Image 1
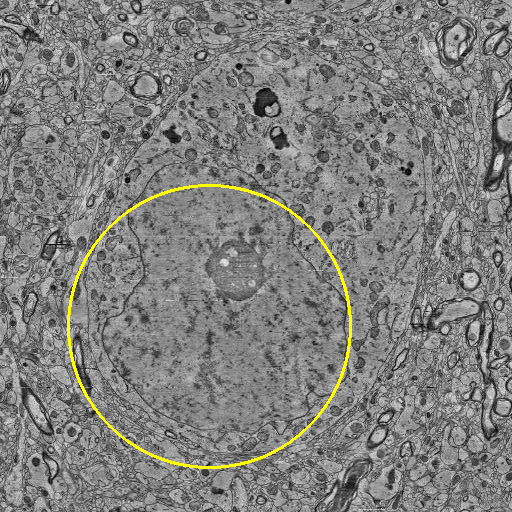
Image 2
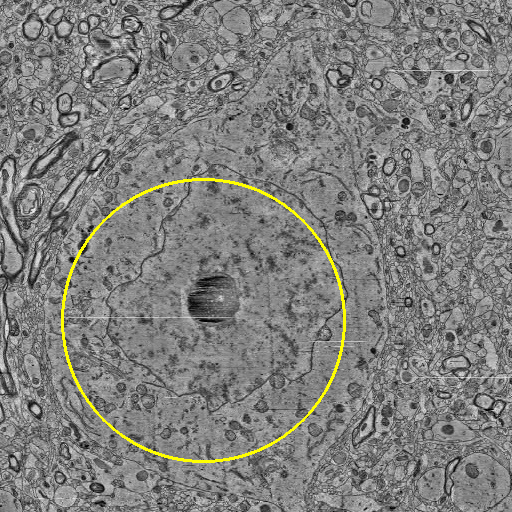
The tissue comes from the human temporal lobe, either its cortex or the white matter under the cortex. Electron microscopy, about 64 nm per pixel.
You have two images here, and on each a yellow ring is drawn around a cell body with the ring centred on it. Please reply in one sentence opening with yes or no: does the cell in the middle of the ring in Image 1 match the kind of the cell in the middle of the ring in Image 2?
Yes, the two images show cells of one kind at the centres of their rings.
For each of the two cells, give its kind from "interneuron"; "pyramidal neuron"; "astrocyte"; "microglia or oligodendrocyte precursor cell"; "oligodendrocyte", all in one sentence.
Each of the two rings surrounds a pyramidal neuron.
